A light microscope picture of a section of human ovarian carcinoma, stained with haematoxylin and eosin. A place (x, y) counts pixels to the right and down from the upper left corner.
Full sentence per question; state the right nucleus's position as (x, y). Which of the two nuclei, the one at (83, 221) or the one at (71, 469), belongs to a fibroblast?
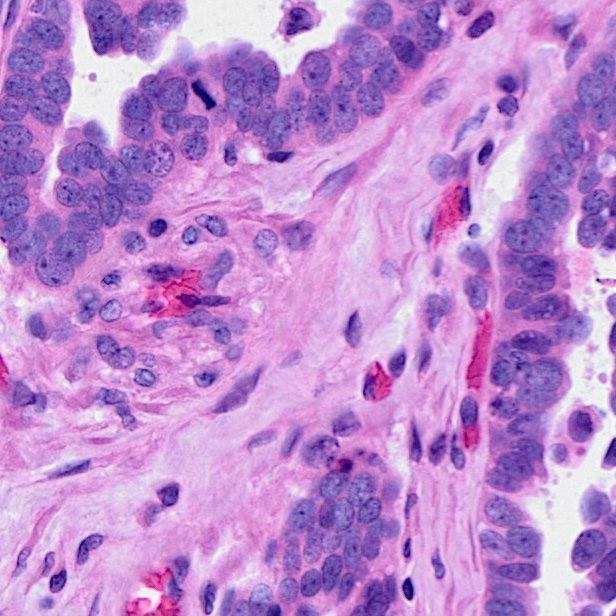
The nucleus at (71, 469), rather than the other, belongs to a fibroblast.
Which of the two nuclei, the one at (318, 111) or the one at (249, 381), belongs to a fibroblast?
It is the nucleus at (249, 381) that forms part of a fibroblast.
